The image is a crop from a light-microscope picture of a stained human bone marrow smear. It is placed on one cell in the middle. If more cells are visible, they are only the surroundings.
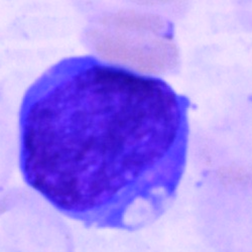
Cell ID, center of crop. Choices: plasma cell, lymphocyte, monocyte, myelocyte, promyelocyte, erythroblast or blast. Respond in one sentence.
The middle of this crop is occupied by a blast.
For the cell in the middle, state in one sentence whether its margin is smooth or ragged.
The cell shows an uneven border, formed by ragged areas or by outward projections.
